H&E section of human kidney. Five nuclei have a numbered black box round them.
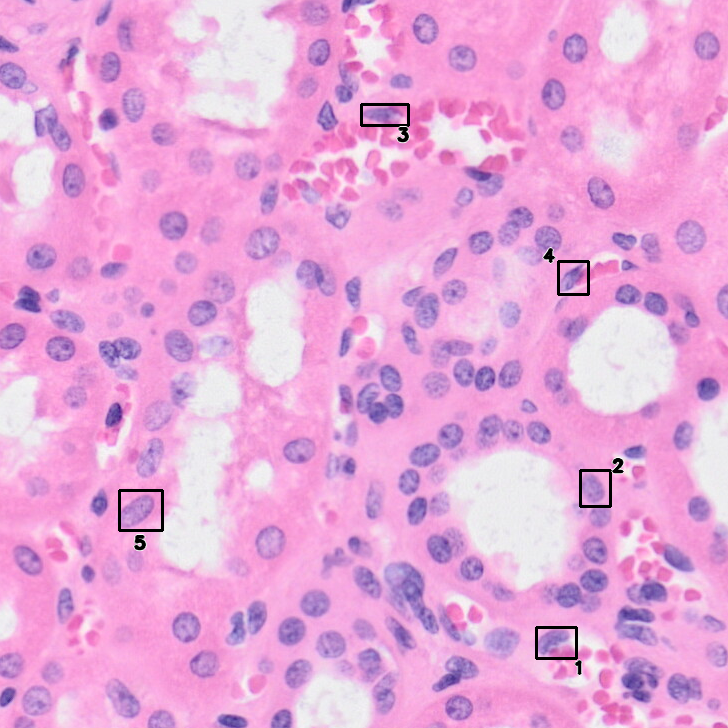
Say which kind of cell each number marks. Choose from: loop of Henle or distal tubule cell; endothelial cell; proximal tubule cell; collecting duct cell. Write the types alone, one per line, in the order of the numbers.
endothelial cell
collecting duct cell
endothelial cell
endothelial cell
proximal tubule cell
